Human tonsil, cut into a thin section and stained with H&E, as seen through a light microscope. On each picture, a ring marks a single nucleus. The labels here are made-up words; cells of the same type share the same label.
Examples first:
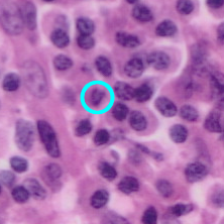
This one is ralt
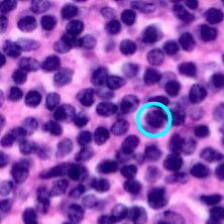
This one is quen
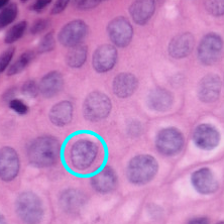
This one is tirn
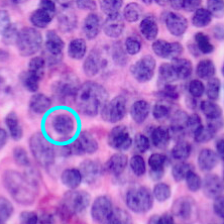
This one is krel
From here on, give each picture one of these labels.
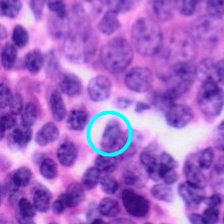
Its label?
krel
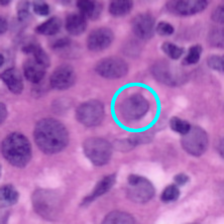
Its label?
tirn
